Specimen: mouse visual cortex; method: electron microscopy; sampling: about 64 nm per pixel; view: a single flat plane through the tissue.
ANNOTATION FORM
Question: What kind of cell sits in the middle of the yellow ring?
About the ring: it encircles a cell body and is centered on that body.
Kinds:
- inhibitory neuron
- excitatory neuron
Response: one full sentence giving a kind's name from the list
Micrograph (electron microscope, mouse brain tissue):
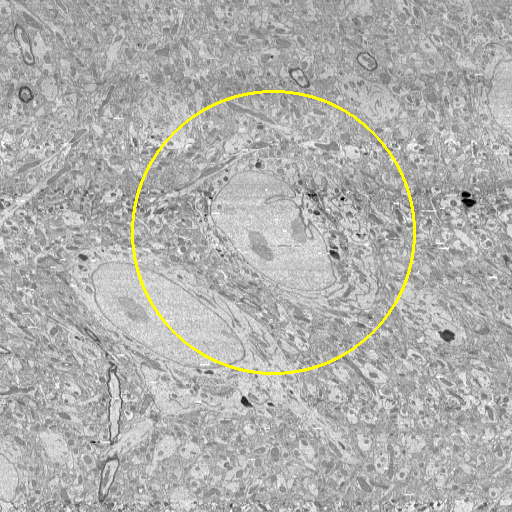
The kind of cell found at the center of the yellow ring in the micrograph is an inhibitory neuron.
